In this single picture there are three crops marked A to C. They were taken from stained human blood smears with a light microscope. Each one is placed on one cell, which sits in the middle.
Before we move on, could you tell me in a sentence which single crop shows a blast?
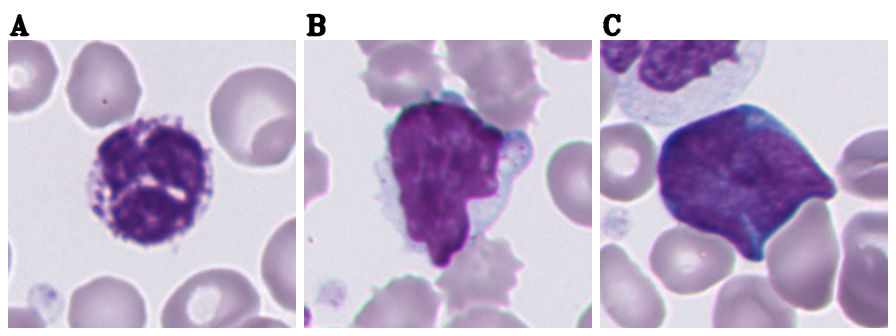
Crop C is the crop whose central cell is a blast.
